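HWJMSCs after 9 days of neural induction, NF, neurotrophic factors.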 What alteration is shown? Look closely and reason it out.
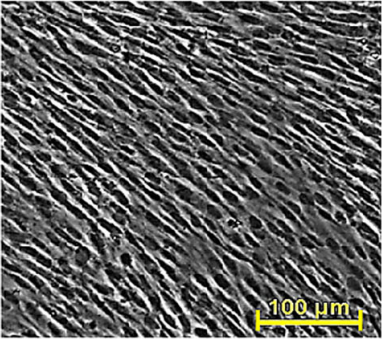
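The cells are elongated and taper at both ends. The cells are densely packed and aligned in one direction. The answer: spindle-like cell morphology.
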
